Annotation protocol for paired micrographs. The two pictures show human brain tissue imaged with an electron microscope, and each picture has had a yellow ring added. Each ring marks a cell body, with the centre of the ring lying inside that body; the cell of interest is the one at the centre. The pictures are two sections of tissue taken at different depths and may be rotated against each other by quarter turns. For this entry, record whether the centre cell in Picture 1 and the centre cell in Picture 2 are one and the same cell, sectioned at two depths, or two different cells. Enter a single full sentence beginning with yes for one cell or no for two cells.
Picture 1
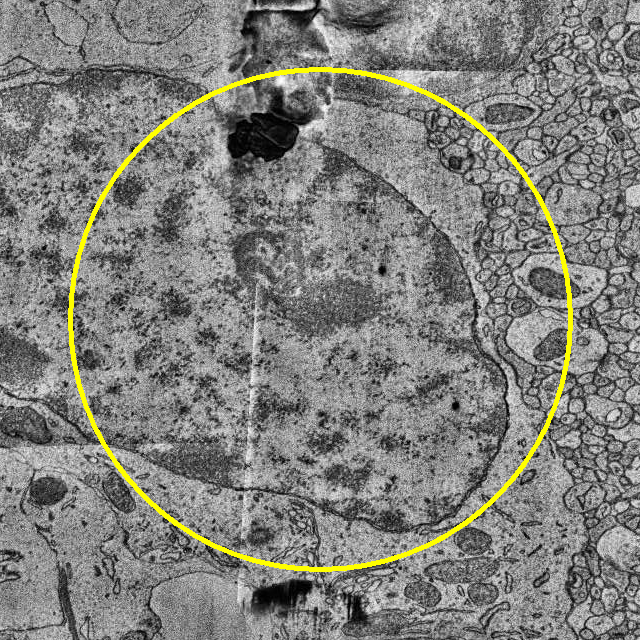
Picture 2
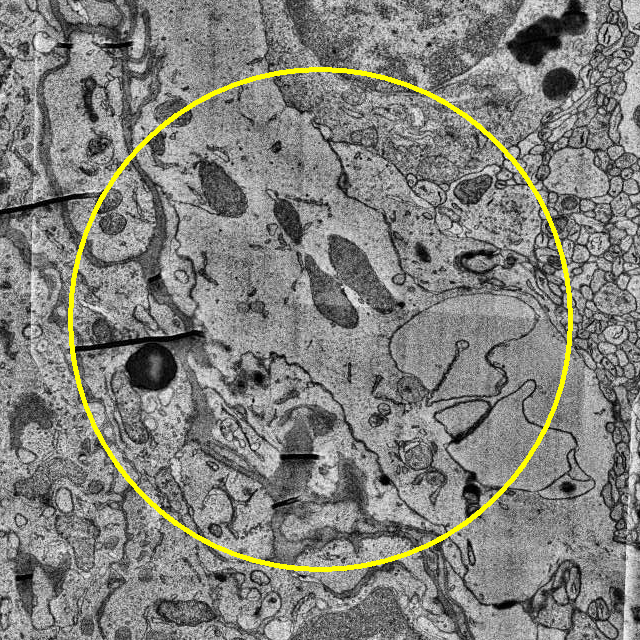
Yes, the two rings encircle a single cell, not a pair.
